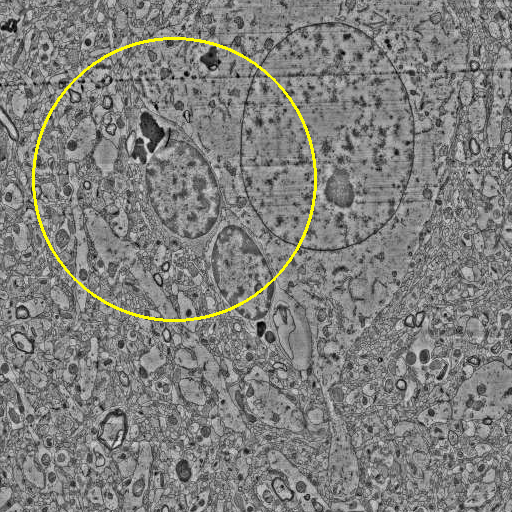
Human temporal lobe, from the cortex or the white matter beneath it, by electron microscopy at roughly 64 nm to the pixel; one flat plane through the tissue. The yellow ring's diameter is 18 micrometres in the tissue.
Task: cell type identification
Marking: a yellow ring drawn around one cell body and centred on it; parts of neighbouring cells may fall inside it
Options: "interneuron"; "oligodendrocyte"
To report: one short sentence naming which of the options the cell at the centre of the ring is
The cell at the centre of the ring is an oligodendrocyte.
